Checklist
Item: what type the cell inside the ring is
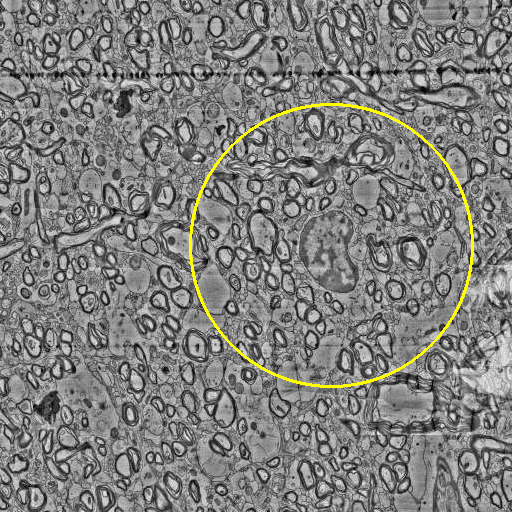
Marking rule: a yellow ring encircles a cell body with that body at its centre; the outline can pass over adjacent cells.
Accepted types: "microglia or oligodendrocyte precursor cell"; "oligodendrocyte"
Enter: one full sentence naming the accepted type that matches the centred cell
The entry is that a microglial cell or oligodendrocyte precursor cell lies at the centre of the yellow ring.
